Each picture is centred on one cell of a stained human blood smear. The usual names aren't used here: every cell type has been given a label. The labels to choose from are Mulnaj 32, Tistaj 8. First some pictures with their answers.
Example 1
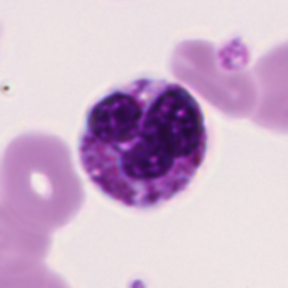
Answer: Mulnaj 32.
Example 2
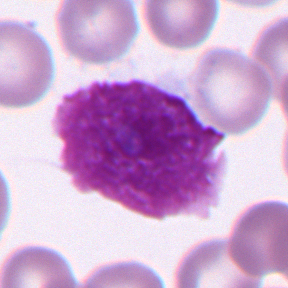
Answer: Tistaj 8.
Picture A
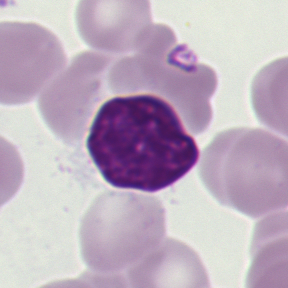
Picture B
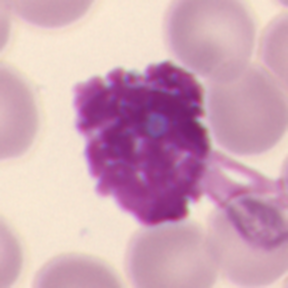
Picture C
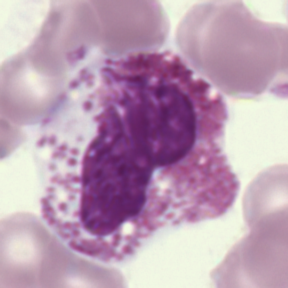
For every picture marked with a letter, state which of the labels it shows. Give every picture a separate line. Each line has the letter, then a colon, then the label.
A: Tistaj 8.
B: Tistaj 8.
C: Mulnaj 32.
